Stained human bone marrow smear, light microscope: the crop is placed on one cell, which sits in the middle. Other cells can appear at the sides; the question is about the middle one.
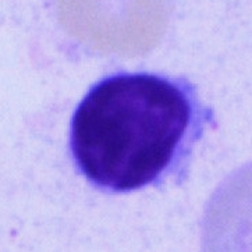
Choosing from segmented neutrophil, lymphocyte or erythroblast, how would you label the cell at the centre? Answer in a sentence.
The cell in the middle of the field of view is a lymphocyte.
